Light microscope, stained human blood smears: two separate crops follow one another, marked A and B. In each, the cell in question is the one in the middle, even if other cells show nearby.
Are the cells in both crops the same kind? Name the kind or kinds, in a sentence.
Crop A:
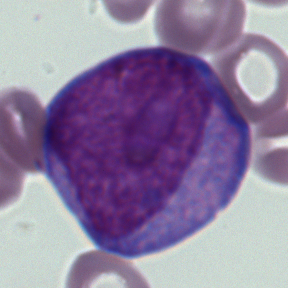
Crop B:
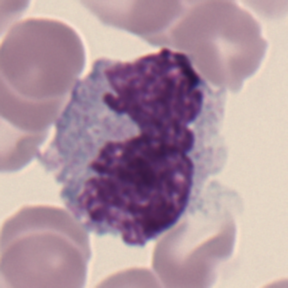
No, crop A features a promyelocyte, and crop B features a monocyte.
